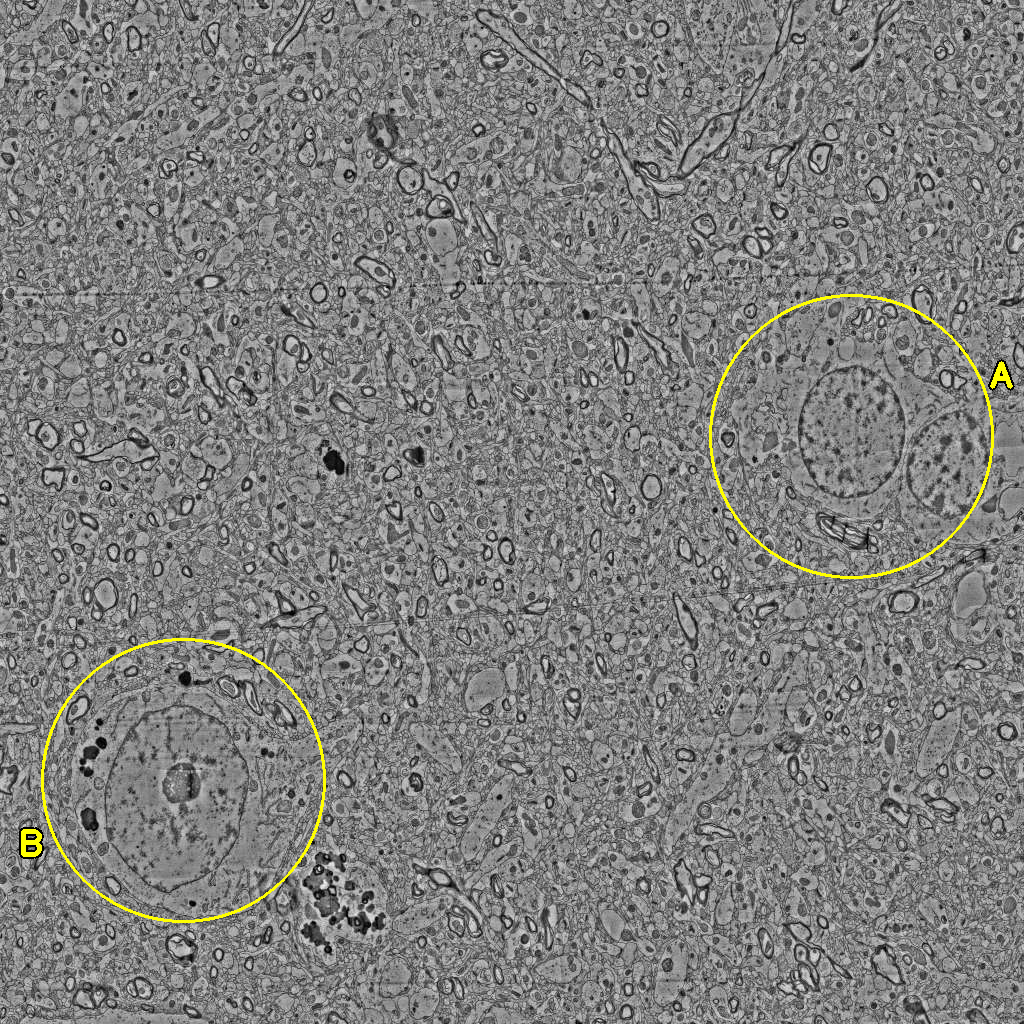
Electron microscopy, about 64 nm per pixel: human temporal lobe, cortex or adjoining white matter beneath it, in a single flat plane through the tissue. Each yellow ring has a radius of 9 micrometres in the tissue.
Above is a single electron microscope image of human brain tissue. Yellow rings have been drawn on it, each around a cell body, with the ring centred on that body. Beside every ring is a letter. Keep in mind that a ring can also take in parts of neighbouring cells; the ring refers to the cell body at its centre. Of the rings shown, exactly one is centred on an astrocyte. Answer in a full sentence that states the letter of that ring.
The cell at the centre of ring A is the one asked for.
